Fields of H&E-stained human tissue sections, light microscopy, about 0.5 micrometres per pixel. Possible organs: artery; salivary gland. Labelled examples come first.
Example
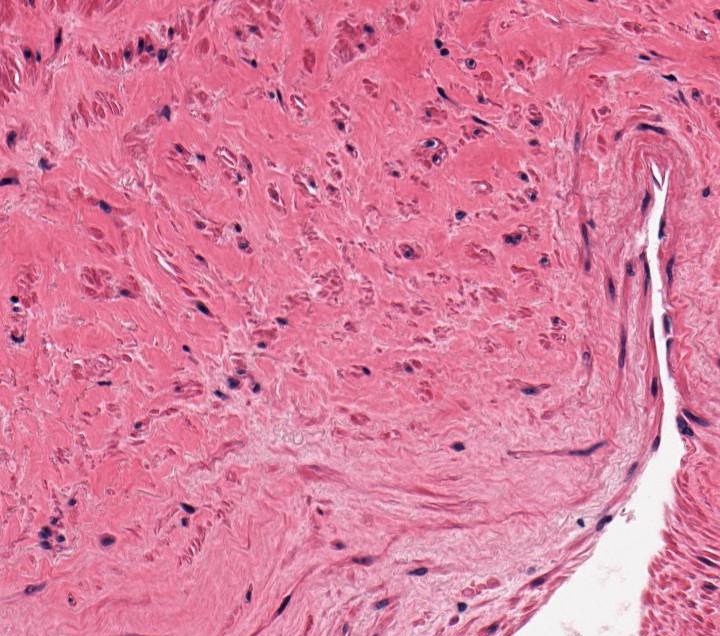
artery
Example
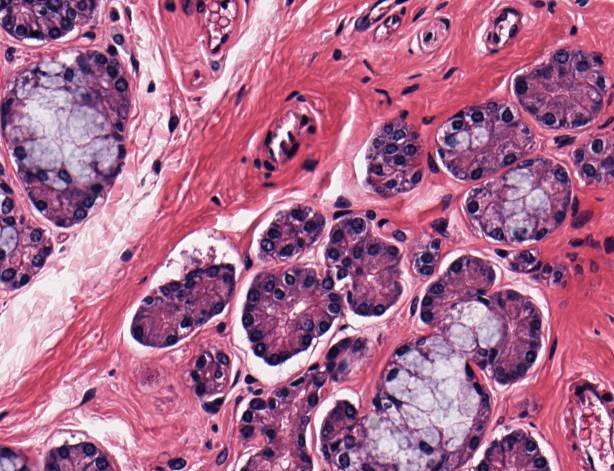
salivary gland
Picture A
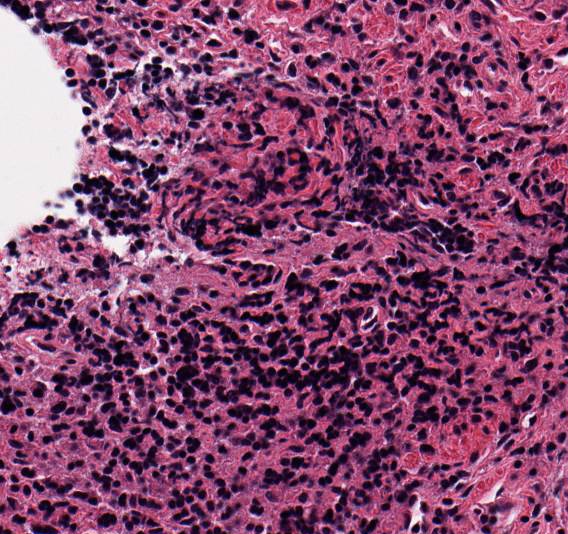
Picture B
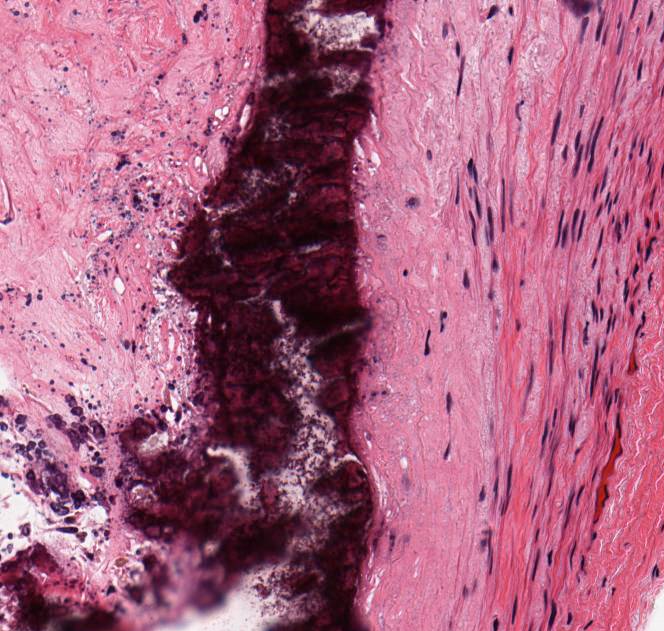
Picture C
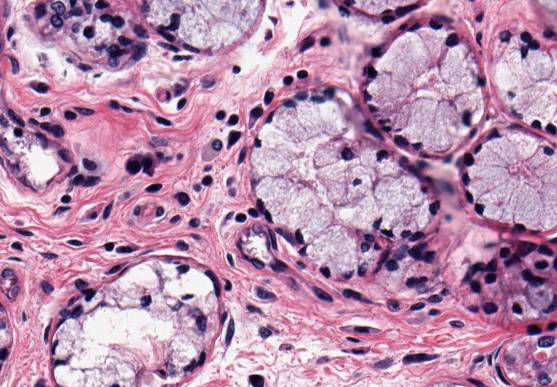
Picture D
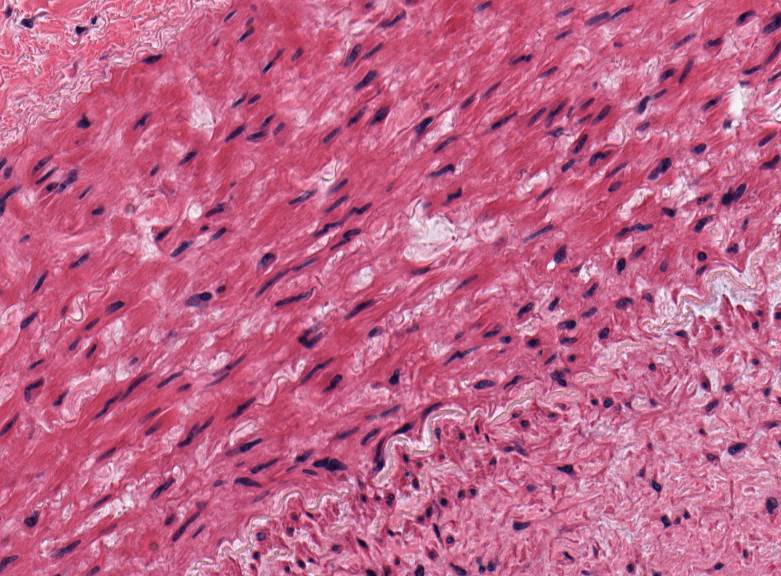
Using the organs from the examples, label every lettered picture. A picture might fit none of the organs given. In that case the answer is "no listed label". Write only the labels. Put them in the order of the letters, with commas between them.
no listed label, artery, salivary gland, artery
